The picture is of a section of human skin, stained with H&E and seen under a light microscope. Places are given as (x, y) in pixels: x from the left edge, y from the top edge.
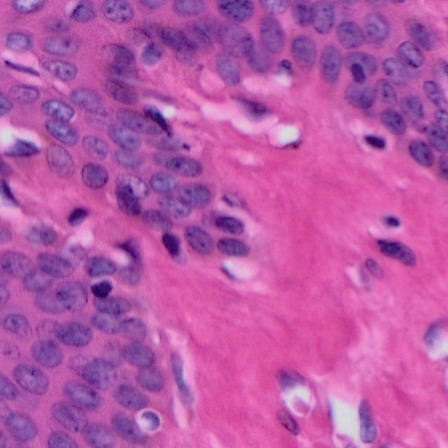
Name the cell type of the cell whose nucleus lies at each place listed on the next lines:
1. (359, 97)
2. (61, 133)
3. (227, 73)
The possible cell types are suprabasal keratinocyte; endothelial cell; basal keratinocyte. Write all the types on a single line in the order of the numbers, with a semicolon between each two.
basal keratinocyte; suprabasal keratinocyte; basal keratinocyte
